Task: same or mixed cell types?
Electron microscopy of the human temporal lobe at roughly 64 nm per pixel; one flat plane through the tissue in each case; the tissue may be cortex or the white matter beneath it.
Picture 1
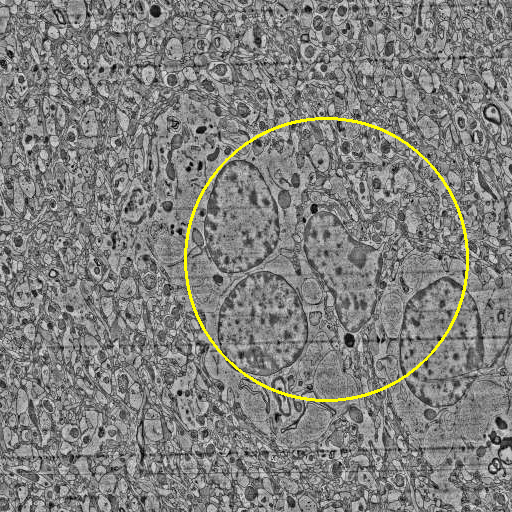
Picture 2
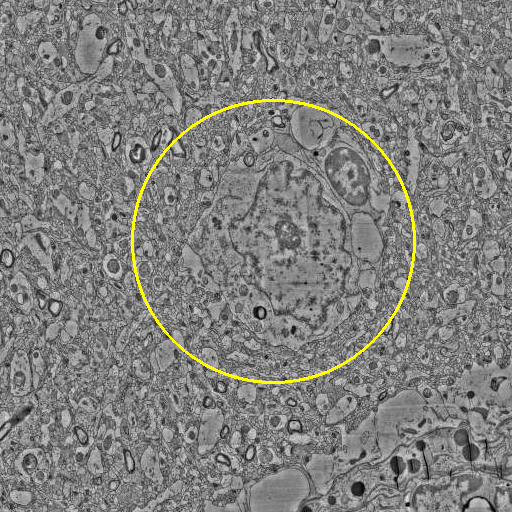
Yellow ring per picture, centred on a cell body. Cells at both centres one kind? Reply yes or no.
no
